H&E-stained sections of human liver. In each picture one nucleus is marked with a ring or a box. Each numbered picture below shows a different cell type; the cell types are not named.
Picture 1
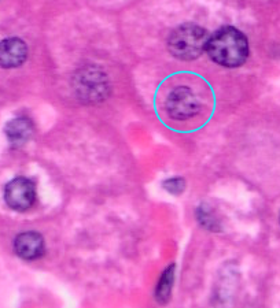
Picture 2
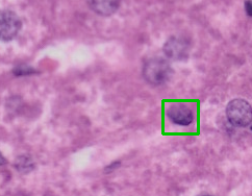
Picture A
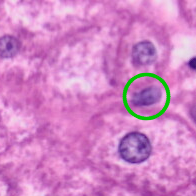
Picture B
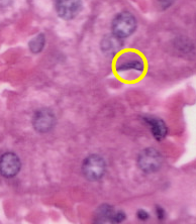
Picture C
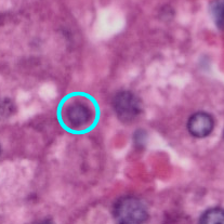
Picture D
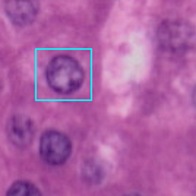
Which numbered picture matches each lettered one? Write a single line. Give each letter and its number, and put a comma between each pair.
A 2, B 2, C 1, D 1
